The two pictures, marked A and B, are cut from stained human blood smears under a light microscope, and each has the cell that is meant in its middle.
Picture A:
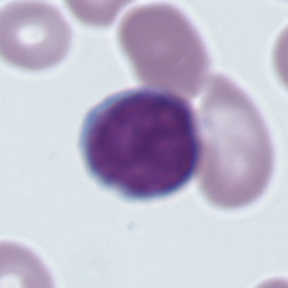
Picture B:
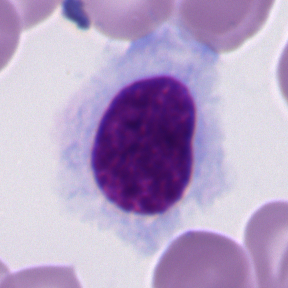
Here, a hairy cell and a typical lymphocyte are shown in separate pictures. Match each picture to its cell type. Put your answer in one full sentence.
Picture B shows a hairy cell, while picture A shows a typical lymphocyte.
